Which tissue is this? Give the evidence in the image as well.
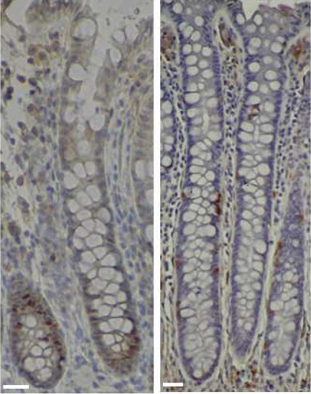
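Straight tubular glands with rounded bases are cut lengthwise. The gland lining holds many pale, rounded mucous vacuoles. Cellular stroma fills the space between neighbouring glands.
Colonic crypts.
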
